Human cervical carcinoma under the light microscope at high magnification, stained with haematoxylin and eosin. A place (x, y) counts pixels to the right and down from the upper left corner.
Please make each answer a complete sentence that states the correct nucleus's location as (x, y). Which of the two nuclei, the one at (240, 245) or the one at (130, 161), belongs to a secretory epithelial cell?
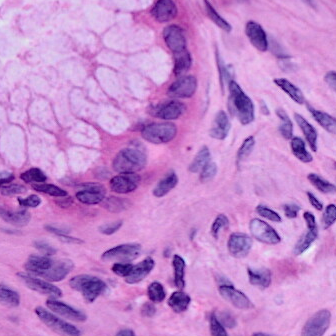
Here the nucleus at (130, 161) is the one that belongs to a secretory epithelial cell.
